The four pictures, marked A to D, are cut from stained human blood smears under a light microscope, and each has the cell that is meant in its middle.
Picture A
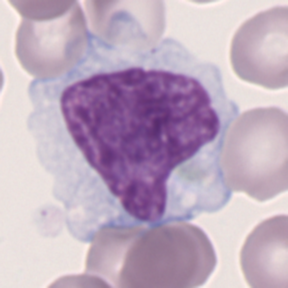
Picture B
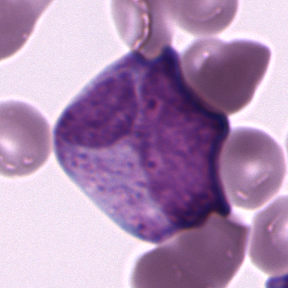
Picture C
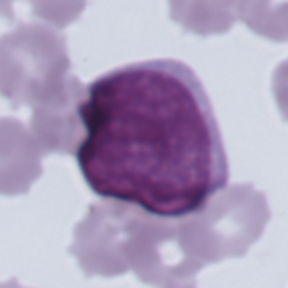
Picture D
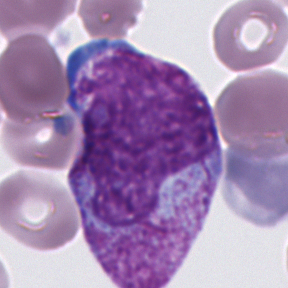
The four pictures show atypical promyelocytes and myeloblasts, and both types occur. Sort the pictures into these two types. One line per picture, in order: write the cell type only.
myeloblast
atypical promyelocyte
myeloblast
atypical promyelocyte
